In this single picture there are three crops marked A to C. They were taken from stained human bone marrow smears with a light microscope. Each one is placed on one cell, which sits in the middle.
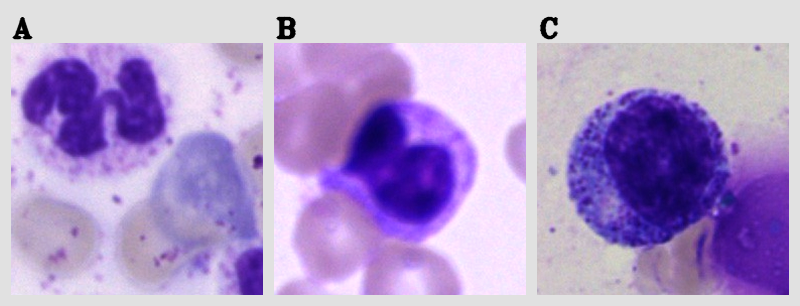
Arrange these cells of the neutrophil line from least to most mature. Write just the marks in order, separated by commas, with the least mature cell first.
C, B, A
